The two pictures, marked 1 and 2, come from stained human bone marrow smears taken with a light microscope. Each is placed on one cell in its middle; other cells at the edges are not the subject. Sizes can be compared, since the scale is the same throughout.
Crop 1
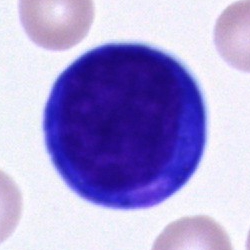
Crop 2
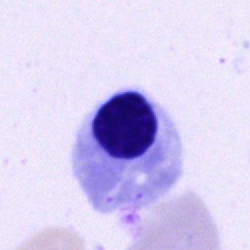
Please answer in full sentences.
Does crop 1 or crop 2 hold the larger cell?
Crop 1 holds the larger cell; it covers about 2 times the area of the cell in crop 2.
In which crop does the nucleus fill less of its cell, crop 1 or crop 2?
In crop 2 the nucleus takes up the smaller part of its cell.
